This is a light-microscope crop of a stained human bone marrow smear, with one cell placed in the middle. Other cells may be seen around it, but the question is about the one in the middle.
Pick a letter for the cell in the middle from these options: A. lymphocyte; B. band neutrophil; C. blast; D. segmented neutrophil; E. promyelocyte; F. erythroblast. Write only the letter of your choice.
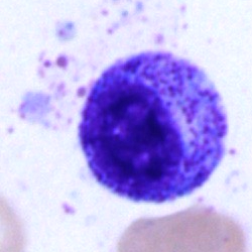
E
